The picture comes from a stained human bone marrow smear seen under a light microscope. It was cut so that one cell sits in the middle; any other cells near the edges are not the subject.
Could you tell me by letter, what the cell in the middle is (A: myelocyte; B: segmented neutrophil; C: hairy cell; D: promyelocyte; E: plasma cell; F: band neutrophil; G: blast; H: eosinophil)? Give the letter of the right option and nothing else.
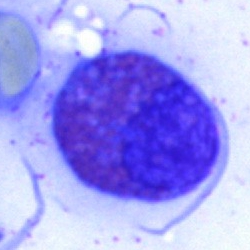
H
